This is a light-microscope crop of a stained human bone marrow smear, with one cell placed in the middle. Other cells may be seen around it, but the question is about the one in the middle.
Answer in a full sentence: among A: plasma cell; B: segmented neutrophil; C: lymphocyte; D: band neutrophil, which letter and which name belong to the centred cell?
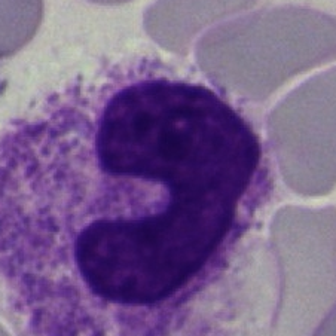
The correct option, D, names the middle cell as a band neutrophil.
